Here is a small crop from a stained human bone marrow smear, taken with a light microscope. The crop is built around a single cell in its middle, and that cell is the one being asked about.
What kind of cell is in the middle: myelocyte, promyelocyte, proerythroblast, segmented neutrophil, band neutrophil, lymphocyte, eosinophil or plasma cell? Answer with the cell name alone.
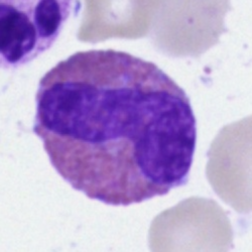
eosinophil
